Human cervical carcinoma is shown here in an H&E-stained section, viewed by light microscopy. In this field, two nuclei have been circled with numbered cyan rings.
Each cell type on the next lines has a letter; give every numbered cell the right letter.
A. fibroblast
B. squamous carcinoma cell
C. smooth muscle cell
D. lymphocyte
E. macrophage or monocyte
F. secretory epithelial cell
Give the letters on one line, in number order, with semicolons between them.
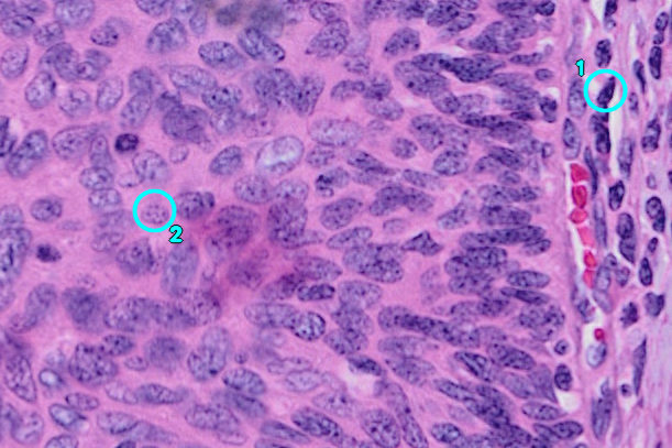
D; B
